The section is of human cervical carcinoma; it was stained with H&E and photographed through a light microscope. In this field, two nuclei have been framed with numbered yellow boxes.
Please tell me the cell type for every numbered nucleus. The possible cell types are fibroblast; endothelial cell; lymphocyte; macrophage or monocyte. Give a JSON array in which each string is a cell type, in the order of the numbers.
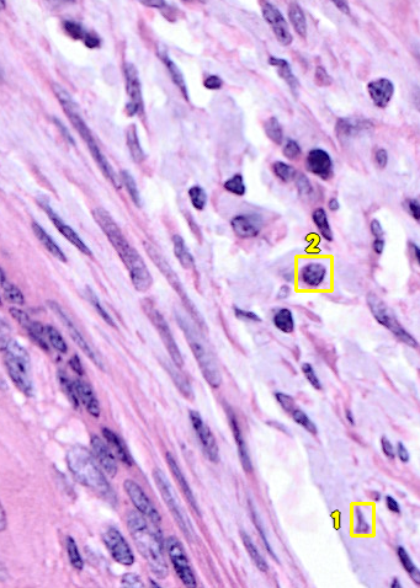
["fibroblast", "lymphocyte"]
